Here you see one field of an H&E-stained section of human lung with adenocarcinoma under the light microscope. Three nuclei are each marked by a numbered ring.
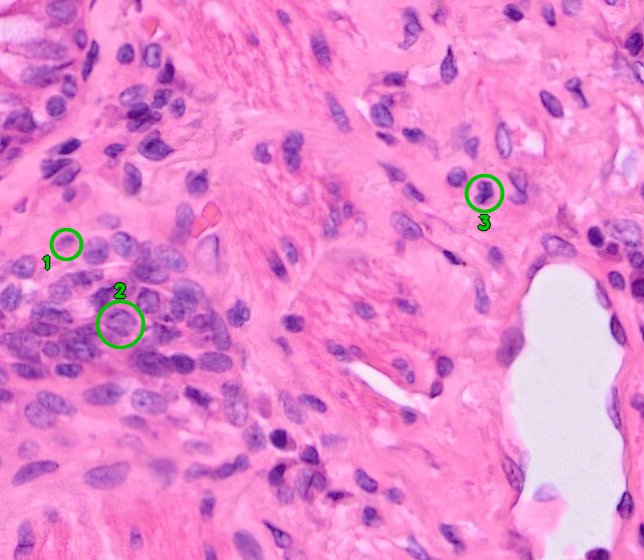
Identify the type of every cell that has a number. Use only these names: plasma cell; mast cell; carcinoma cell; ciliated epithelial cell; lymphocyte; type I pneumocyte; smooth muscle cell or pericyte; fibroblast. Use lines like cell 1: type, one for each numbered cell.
cell 1: mast cell
cell 2: ciliated epithelial cell
cell 3: lymphocyte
